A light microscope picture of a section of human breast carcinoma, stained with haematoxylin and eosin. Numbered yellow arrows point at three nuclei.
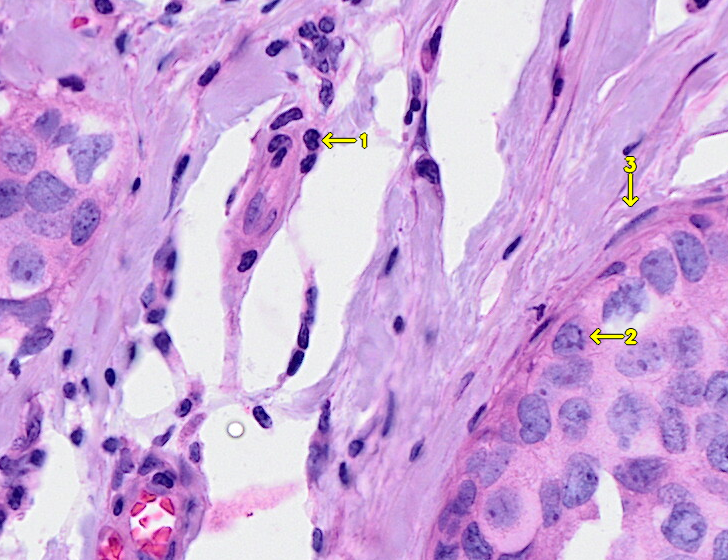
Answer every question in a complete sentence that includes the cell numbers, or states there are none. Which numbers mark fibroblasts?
The numbered cells include exactly one that is a fibroblast, which is cell 3.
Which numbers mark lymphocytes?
Only the cell carrying number 1 is a lymphocyte.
